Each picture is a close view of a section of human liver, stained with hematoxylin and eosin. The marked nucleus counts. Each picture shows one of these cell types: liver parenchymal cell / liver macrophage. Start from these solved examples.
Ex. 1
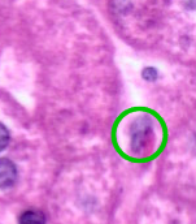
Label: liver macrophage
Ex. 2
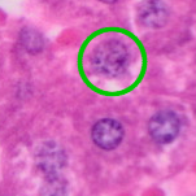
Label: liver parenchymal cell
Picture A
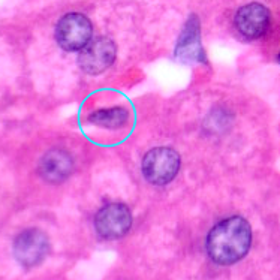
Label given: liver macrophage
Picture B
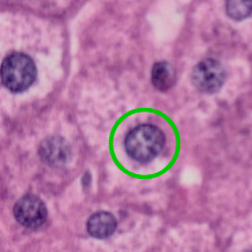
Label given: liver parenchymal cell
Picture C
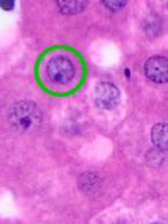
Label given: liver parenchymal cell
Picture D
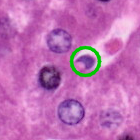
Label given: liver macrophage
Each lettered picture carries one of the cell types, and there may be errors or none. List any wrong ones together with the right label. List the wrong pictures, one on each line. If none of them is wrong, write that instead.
All correct.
